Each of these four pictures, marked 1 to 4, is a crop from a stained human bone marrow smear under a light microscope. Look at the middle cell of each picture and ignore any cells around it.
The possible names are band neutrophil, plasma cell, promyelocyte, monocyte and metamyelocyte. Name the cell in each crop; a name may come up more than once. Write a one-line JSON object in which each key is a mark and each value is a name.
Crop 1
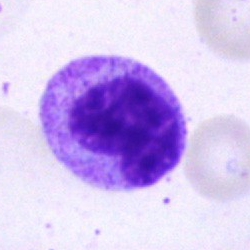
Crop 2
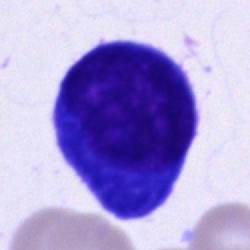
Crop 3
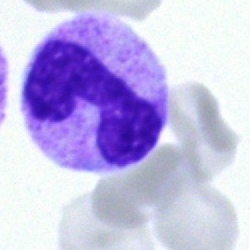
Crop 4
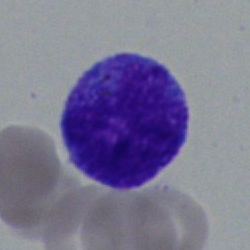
{"1": "metamyelocyte", "2": "plasma cell", "3": "band neutrophil", "4": "monocyte"}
